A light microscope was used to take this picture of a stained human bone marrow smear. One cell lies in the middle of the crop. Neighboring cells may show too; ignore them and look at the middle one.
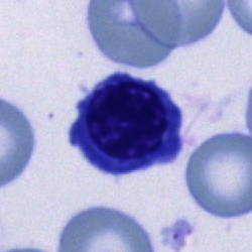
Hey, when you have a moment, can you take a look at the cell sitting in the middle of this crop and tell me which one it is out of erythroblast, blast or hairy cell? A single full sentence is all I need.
Whatever else lies nearby, the middle cell is an erythroblast.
